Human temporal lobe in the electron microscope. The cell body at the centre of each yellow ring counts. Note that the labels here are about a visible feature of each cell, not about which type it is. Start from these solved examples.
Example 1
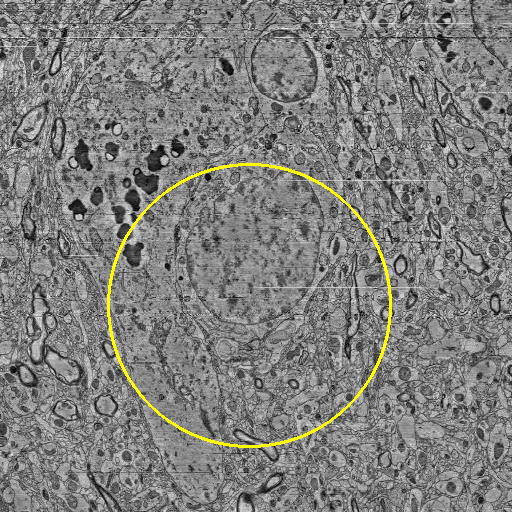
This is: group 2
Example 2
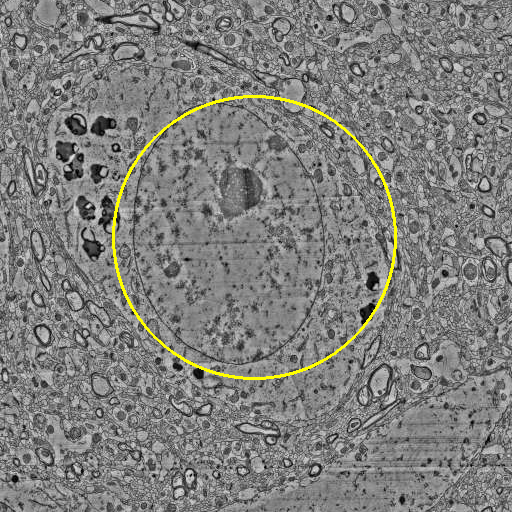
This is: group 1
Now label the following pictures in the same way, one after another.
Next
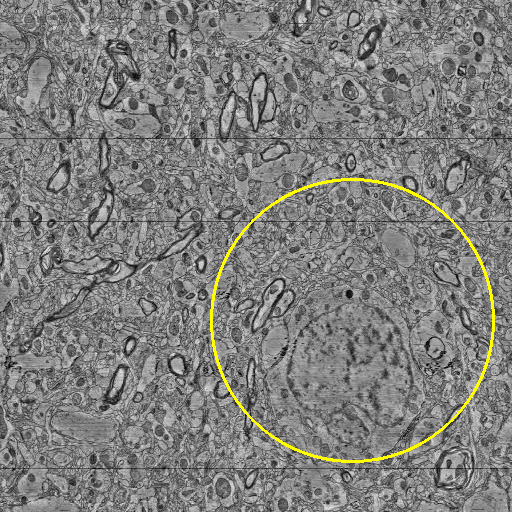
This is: group 2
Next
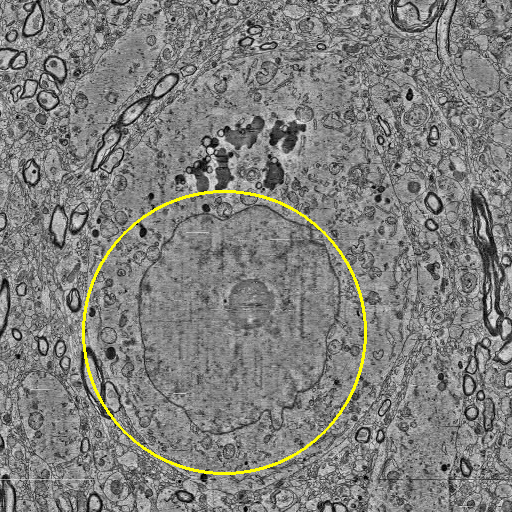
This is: group 1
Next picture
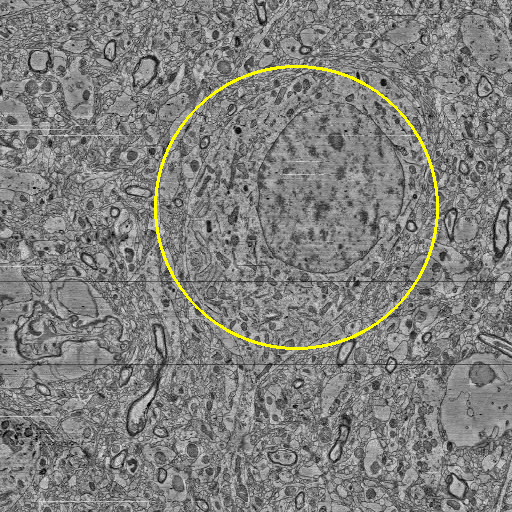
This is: group 1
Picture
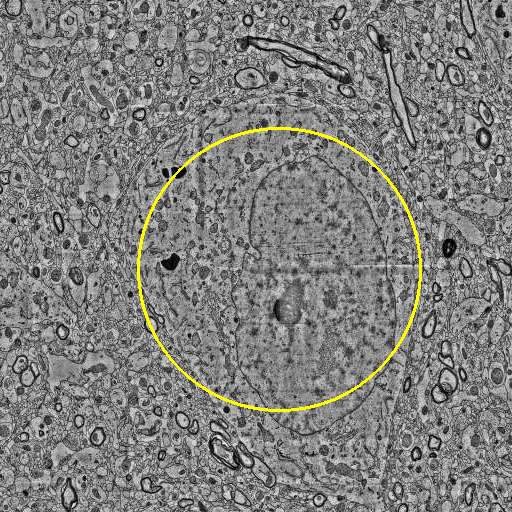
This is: group 1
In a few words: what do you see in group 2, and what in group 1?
Seen in group 2: no nucleolus seen; seen in group 1: nucleolus seen.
